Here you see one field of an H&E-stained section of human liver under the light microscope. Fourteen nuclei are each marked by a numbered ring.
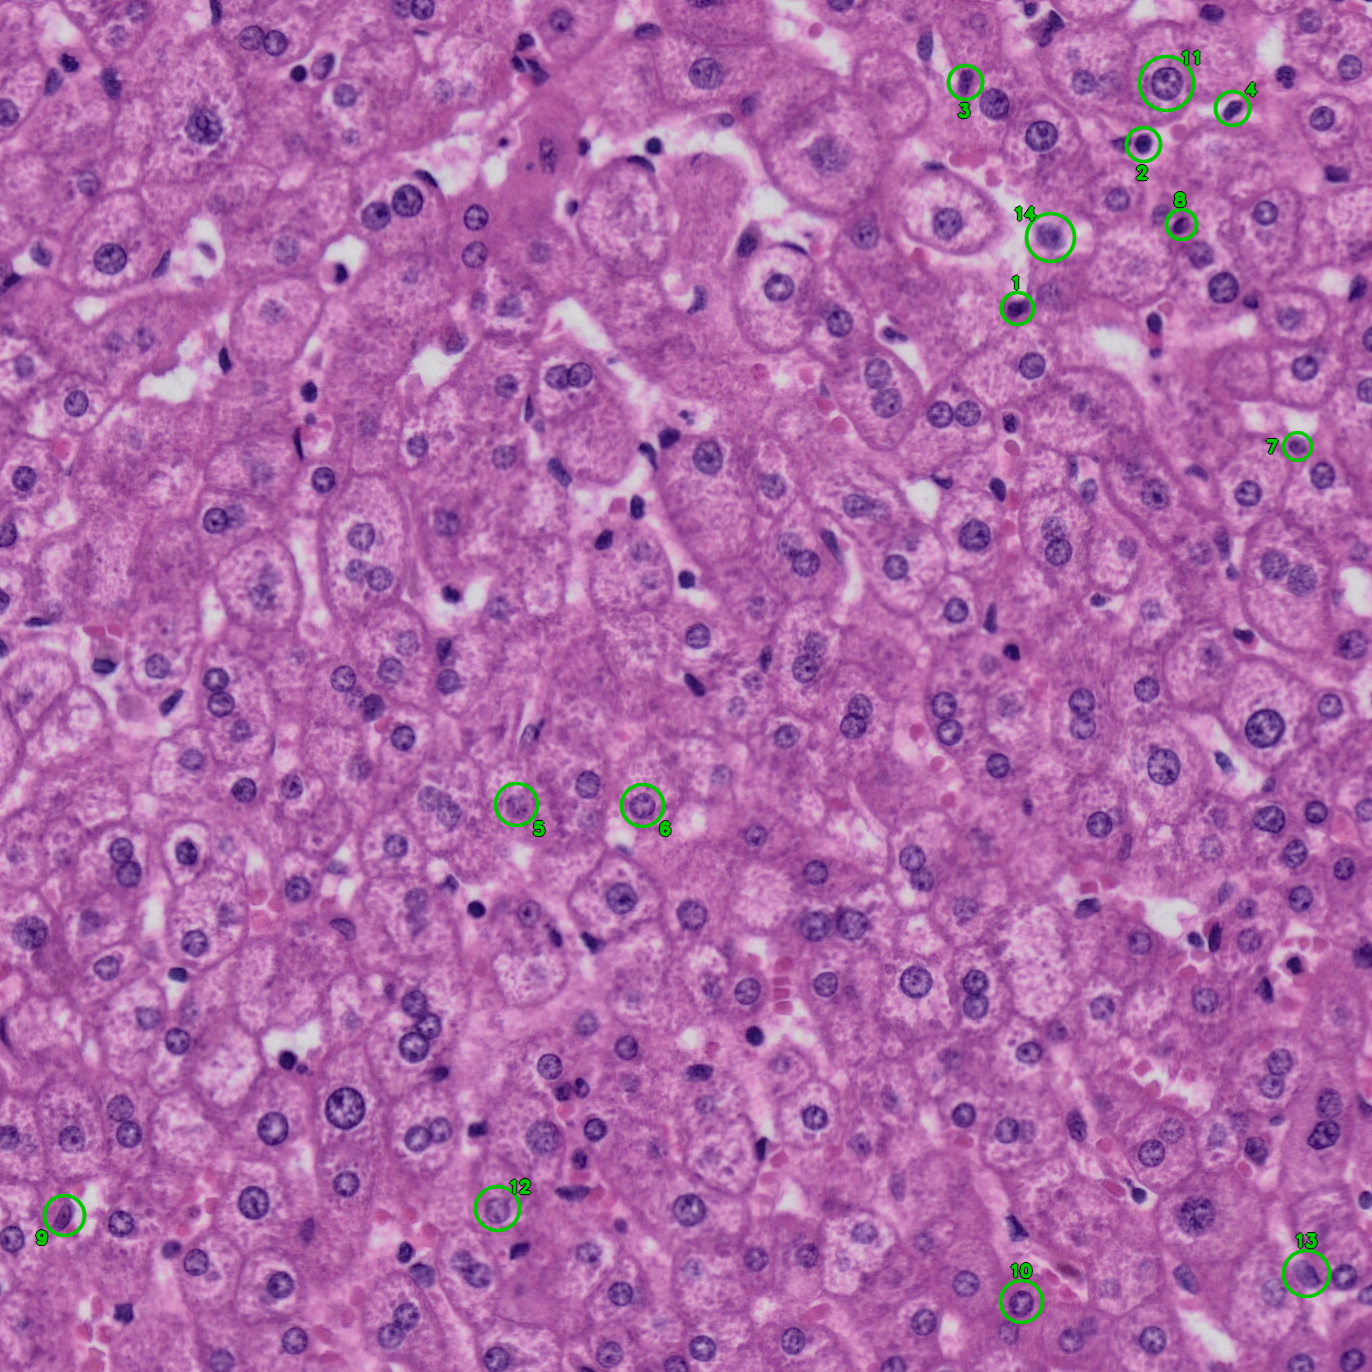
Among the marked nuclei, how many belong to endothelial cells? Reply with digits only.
2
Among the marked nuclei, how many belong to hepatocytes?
5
